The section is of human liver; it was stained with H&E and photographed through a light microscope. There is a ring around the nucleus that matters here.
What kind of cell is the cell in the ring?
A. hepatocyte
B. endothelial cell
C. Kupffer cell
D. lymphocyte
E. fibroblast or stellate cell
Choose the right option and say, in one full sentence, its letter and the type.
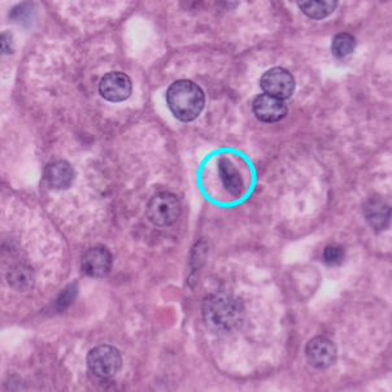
In this case the cell in the ring is an endothelial cell, so option B is correct.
